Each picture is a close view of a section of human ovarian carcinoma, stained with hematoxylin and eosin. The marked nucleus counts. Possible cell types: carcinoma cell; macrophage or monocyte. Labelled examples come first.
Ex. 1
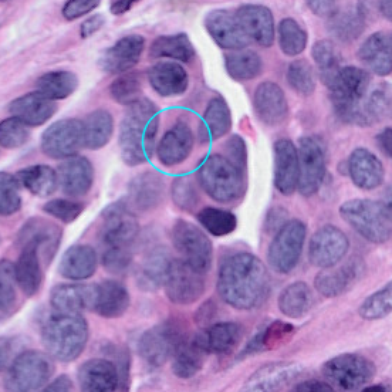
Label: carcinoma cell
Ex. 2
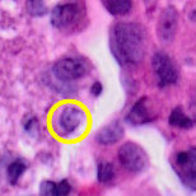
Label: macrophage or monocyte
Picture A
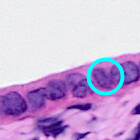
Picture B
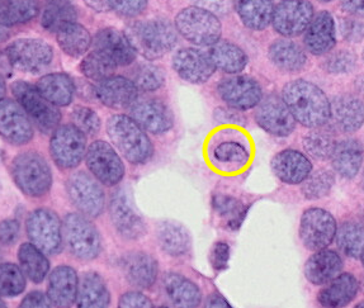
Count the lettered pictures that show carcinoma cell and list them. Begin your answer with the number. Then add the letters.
1, namely A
